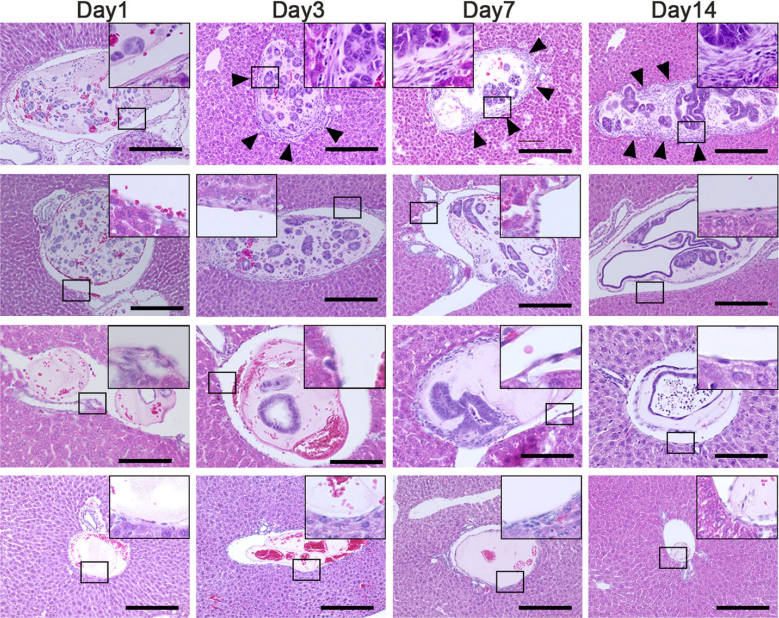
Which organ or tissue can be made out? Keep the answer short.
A: liver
